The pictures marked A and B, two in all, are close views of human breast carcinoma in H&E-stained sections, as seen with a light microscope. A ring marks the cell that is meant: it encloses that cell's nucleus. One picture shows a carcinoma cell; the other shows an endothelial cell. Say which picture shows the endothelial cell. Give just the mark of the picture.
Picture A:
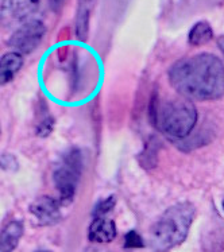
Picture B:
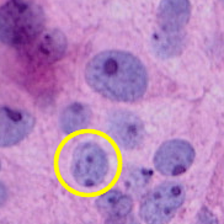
A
